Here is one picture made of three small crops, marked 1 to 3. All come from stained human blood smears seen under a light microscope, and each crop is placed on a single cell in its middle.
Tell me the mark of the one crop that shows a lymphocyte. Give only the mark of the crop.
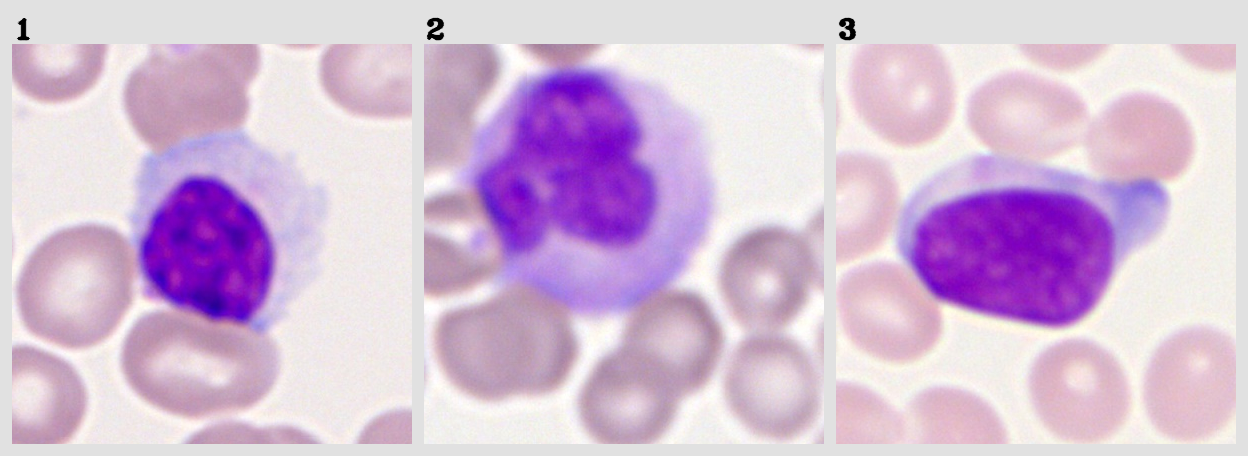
1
